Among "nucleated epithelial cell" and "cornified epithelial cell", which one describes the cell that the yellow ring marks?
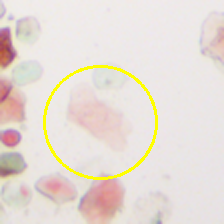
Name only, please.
cornified epithelial cell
